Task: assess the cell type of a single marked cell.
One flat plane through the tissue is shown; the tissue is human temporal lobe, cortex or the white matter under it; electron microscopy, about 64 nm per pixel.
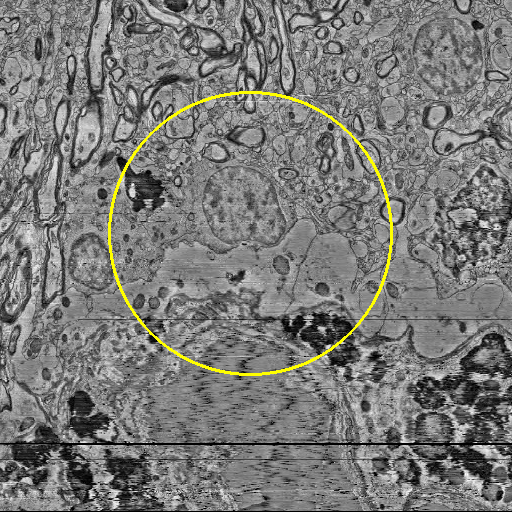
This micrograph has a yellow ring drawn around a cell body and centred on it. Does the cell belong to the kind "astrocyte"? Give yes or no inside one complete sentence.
No, the marked cell at the centre of the ring belongs to another kind.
